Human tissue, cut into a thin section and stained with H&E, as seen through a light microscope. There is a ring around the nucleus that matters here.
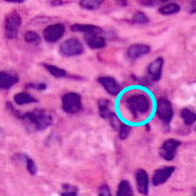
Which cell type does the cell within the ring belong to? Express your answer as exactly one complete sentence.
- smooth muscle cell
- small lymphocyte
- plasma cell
The expected answer is simply that the cell within the ring is a plasma cell.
